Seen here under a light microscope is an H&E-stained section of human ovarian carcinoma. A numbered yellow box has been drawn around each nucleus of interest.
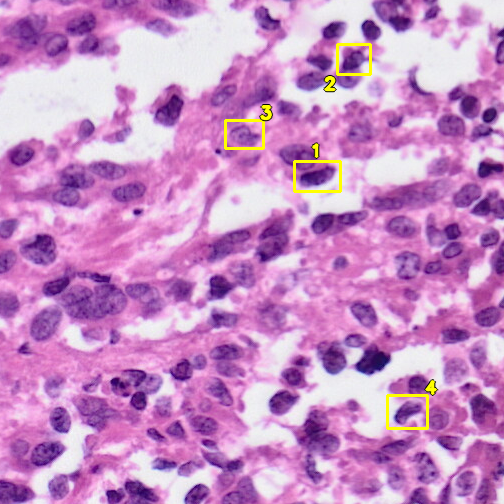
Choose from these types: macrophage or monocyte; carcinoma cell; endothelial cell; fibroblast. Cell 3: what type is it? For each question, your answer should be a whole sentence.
In the marked set, the cell given number 3 is a macrophage or monocyte.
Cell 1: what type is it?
Cell 1 should be recorded as a carcinoma cell.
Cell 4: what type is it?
The cell with the number 4 is a carcinoma cell.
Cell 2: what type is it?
Number 2 is placed on a carcinoma cell here.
